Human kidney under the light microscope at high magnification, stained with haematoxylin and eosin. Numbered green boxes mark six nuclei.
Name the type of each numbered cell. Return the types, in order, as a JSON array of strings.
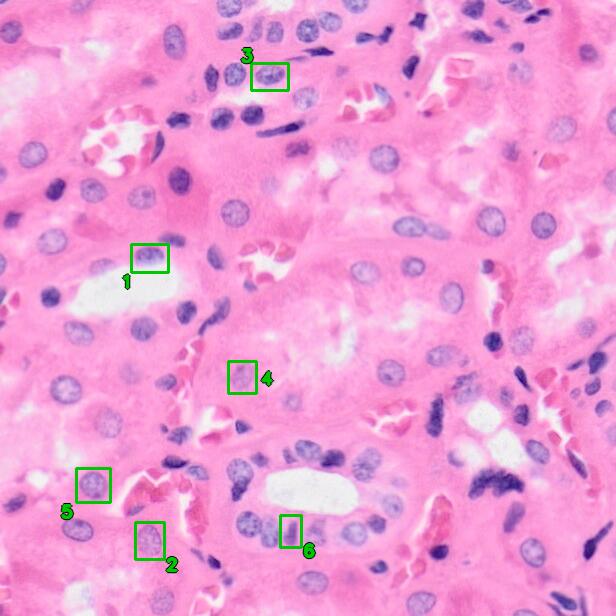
["loop of Henle or distal tubule cell", "proximal tubule cell", "loop of Henle or distal tubule cell", "proximal tubule cell", "proximal tubule cell", "collecting duct cell"]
